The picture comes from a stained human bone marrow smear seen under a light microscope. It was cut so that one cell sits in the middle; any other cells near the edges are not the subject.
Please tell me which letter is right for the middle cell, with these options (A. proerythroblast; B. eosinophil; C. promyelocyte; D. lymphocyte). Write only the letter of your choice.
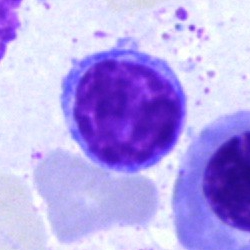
D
